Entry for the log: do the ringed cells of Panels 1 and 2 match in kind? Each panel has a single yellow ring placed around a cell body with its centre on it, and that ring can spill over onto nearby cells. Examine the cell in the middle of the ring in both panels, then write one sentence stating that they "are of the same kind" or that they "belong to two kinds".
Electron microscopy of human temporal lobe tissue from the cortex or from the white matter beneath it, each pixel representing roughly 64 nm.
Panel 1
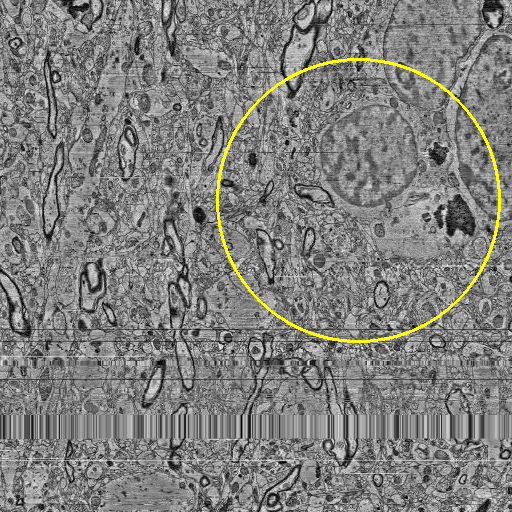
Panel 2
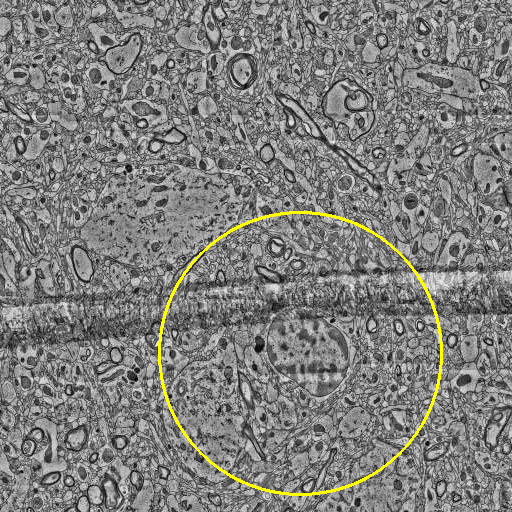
The centre cell of Panel 1's ring and that of Panel 2's ring belong to two kinds.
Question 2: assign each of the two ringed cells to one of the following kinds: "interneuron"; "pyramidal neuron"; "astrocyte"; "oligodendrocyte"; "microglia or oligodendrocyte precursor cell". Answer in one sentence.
The two cells are an oligodendrocyte in the first picture and a microglial cell or oligodendrocyte precursor cell in the second.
